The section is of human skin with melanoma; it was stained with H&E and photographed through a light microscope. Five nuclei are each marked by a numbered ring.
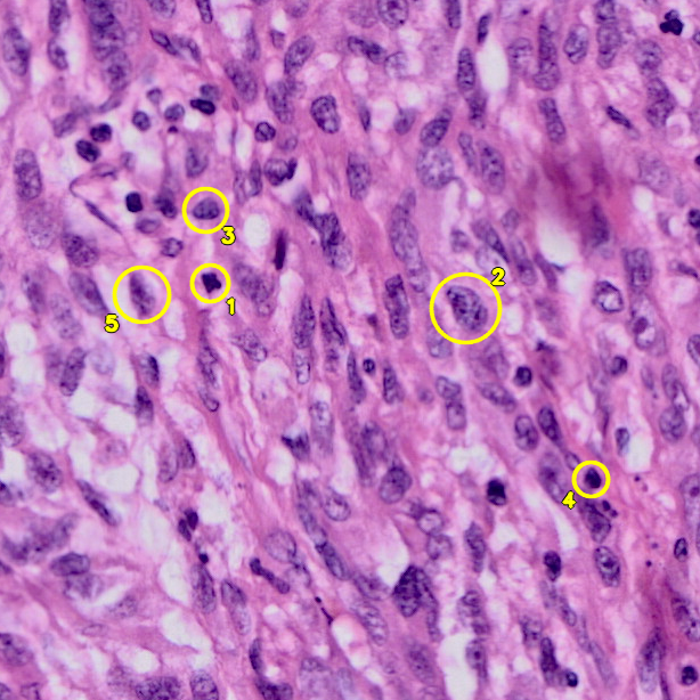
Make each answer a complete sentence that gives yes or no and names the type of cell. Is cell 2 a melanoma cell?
Yes, in this section the cell numbered 2 is a melanoma cell.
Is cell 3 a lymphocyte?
Yes, and to answer plainly, cell 3 is a lymphocyte.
